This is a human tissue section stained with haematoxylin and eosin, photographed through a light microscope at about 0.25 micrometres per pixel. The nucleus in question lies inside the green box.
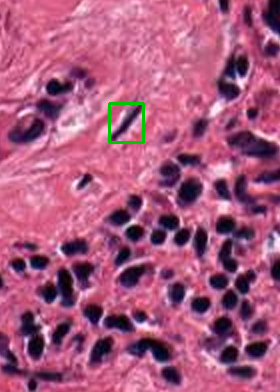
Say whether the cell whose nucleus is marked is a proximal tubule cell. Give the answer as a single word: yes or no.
no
